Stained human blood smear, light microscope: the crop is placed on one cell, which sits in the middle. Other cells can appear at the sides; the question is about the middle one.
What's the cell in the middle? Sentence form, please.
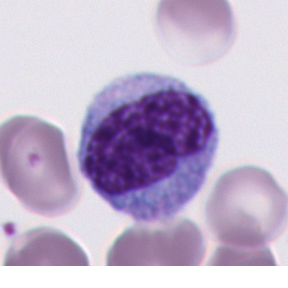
The middle of this crop holds a monocyte.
